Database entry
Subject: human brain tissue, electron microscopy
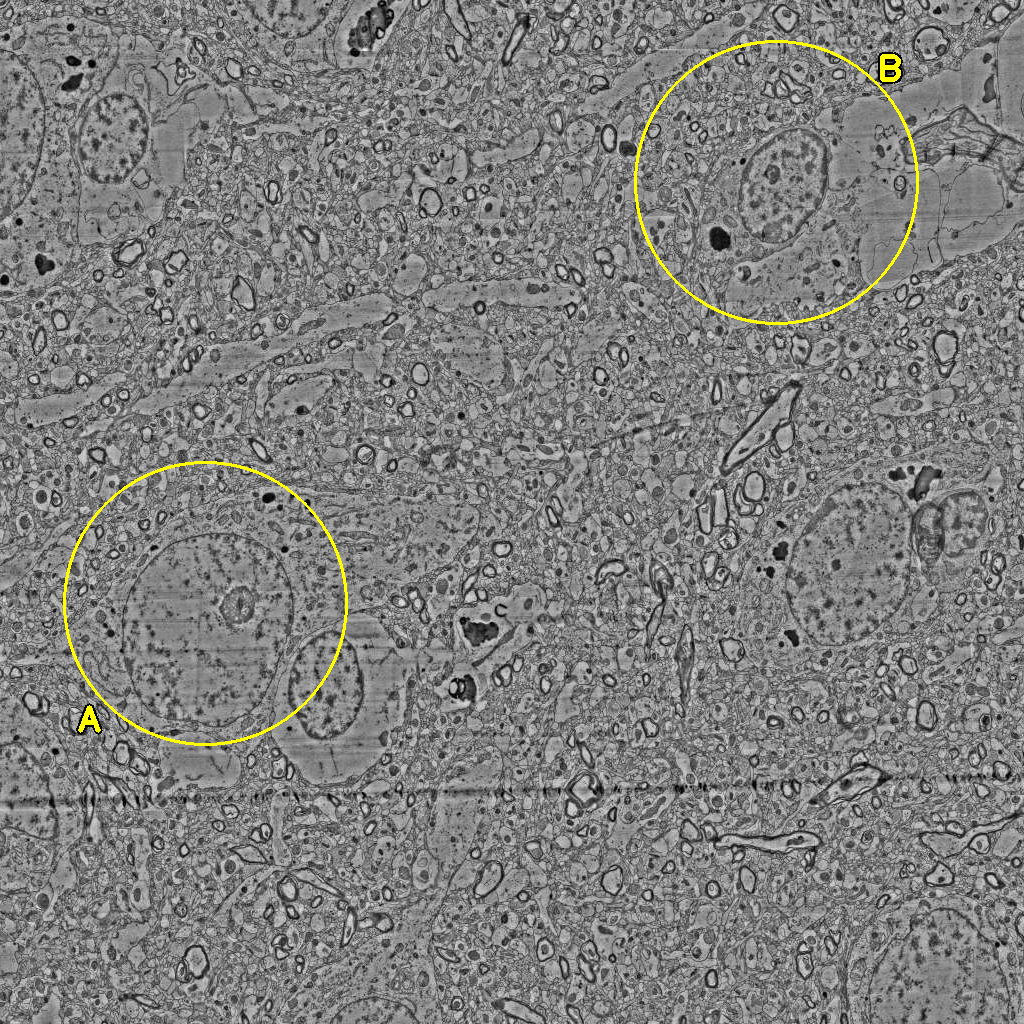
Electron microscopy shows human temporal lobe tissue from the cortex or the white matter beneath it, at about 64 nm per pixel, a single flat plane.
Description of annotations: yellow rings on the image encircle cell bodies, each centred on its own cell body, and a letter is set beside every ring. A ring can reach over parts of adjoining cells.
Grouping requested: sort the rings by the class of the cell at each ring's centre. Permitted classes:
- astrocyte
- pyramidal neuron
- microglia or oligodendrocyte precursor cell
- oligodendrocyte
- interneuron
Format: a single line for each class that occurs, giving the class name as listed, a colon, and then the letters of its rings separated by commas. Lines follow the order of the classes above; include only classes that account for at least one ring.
pyramidal neuron: A
oligodendrocyte: B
